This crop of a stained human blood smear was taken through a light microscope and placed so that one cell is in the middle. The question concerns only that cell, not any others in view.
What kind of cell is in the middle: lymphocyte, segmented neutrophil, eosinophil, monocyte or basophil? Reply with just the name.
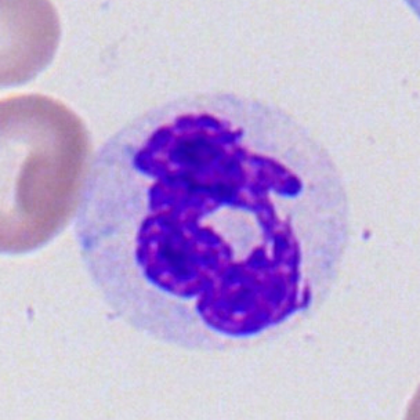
segmented neutrophil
